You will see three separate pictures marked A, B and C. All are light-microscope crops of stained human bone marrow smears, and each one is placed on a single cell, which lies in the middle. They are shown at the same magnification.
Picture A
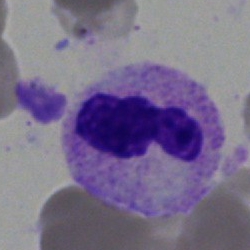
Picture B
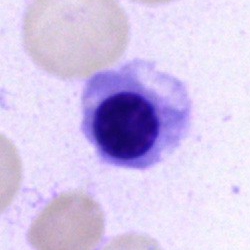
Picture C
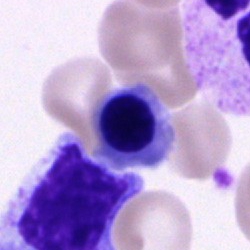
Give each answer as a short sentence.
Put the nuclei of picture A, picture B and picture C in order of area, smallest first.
Going up, they run C, B, A.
